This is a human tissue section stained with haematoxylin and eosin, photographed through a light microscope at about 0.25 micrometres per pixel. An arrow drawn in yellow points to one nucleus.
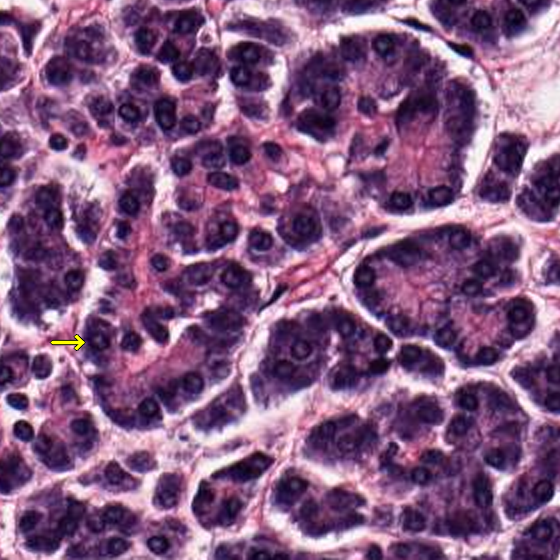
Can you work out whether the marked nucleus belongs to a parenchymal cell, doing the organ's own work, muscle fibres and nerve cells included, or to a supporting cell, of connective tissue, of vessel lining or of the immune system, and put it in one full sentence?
The marked nucleus is the nucleus of a parenchymal cell, that is, a pancreatic acinar cell.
